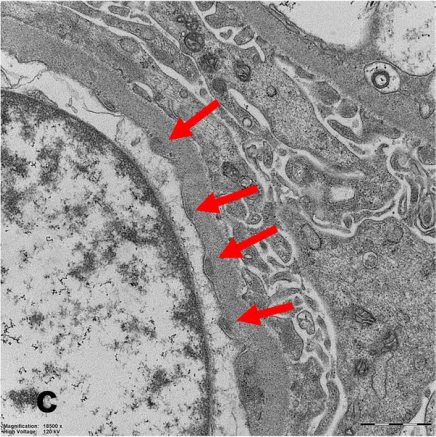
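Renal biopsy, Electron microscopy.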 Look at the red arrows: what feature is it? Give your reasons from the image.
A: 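Small dense granular material lies along the inner side of a grey basement membrane band. The arrows point along the edge of the membrane next to the capillary lumen side.
Answer: subendothelial depositions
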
